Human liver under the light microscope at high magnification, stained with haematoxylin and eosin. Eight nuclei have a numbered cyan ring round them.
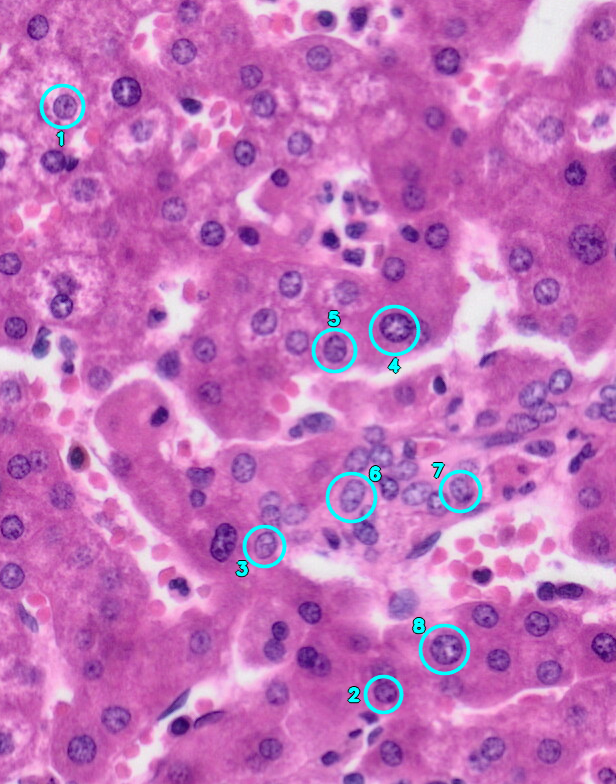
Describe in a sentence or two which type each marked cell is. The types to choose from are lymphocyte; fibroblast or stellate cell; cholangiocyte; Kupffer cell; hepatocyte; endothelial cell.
Cell 1 is a hepatocyte, cell 2 is a hepatocyte, cell 3 is a cholangiocyte, cell 4 is a hepatocyte, cell 5 is a hepatocyte, cell 6 is a cholangiocyte, cell 7 is a cholangiocyte and cell 8 is a hepatocyte.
